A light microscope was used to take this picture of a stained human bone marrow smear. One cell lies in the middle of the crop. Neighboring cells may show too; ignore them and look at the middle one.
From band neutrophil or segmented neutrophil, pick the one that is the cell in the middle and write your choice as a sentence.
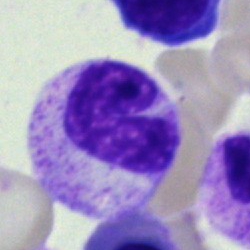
The cell sitting right in the middle is a band neutrophil.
